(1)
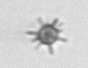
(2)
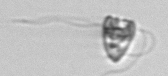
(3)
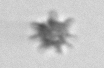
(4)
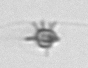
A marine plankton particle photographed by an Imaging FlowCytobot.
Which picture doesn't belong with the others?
Picture 2.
